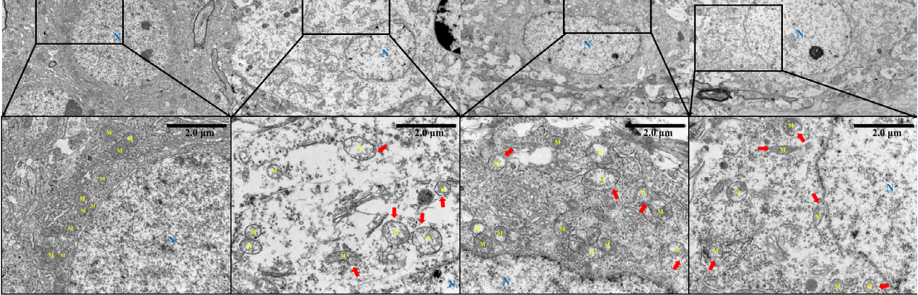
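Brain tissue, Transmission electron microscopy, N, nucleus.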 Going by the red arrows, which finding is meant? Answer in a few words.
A: damaged mitochondria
